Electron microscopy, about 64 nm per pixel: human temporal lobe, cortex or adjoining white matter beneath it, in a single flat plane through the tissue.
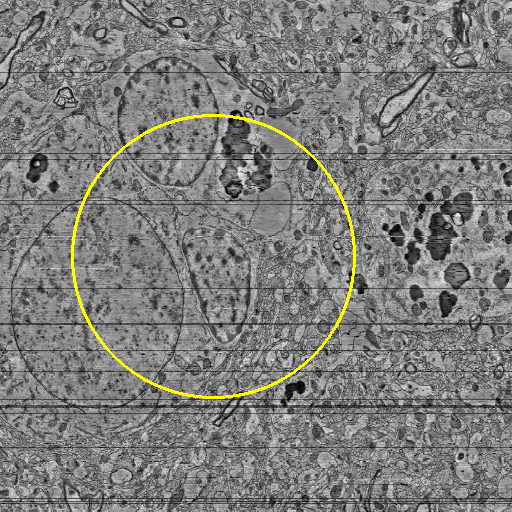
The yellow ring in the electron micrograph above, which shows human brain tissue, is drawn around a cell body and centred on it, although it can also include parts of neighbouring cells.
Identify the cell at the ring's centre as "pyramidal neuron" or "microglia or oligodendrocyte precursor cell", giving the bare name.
microglia or oligodendrocyte precursor cell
